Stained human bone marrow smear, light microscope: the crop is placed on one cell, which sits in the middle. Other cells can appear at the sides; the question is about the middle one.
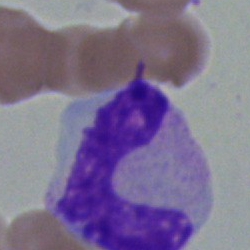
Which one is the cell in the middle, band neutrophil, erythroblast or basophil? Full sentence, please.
For this crop, the central cell is a band neutrophil.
